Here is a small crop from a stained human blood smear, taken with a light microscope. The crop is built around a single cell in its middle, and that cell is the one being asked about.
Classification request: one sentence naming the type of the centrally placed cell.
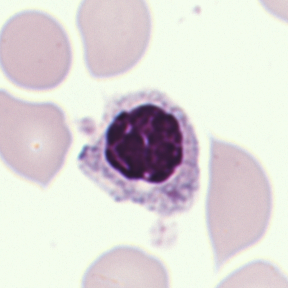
The center cell of this crop is a normoblast.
